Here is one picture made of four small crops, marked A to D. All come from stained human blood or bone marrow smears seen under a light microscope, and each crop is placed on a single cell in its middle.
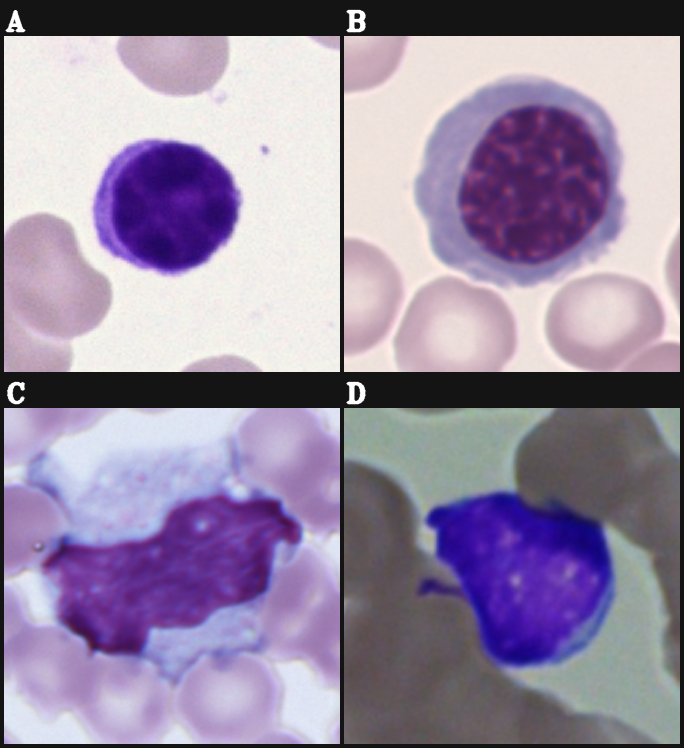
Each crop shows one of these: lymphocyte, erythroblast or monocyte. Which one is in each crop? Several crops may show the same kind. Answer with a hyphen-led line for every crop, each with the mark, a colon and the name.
- A: lymphocyte
- B: erythroblast
- C: monocyte
- D: lymphocyte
